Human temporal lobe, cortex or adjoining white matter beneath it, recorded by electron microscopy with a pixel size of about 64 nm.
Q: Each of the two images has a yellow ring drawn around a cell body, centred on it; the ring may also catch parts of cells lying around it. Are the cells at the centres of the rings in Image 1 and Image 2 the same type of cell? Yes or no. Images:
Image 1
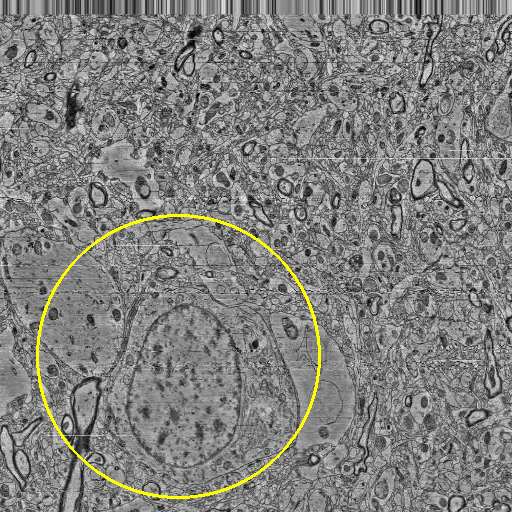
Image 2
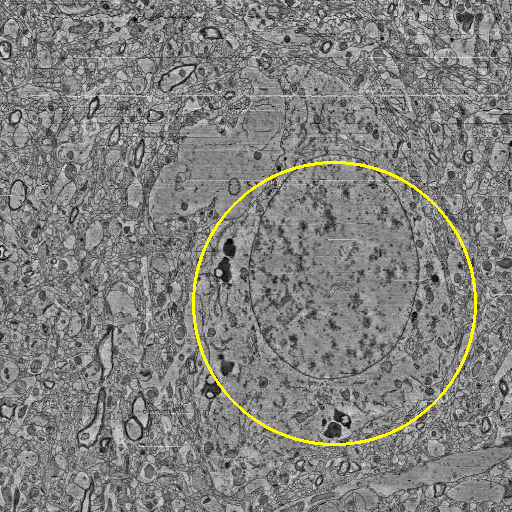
no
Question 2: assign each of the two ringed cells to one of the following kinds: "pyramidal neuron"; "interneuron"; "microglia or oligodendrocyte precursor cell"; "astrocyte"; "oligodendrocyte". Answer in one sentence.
The two cells are an interneuron in the first picture and a pyramidal neuron in the second.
